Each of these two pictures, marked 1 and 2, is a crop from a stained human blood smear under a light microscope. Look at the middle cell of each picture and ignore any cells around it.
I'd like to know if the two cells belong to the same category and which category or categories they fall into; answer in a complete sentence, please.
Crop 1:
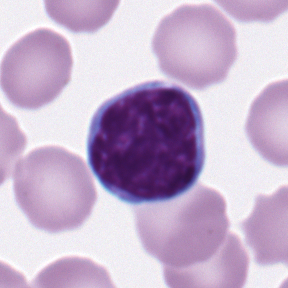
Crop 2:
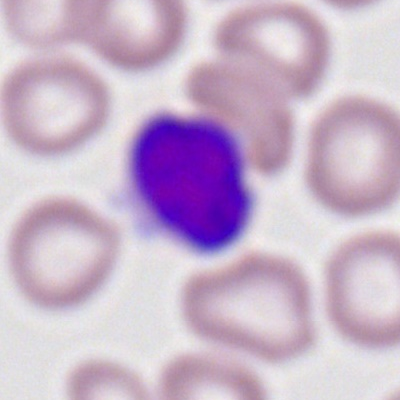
Yes, both of the crops show lymphocytes.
